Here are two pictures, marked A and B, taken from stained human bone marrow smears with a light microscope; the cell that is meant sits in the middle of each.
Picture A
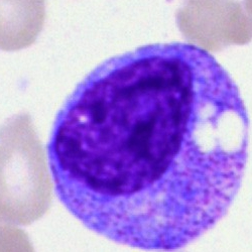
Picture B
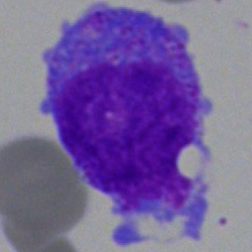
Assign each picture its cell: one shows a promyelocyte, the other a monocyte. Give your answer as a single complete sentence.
In picture A the cell is a promyelocyte; in picture B, a monocyte.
